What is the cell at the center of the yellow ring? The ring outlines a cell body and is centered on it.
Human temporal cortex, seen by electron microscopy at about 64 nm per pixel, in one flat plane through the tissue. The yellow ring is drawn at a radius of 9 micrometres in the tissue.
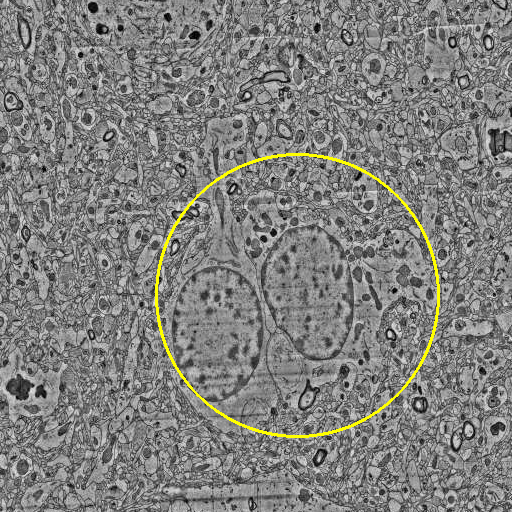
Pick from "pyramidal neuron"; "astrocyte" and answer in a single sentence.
The yellow ring is centered on an astrocyte.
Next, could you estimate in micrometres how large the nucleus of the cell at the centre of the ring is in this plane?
About 9 by 6 micrometers, in this plane.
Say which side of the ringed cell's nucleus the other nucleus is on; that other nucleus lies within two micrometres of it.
That other nucleus is to the left of it.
